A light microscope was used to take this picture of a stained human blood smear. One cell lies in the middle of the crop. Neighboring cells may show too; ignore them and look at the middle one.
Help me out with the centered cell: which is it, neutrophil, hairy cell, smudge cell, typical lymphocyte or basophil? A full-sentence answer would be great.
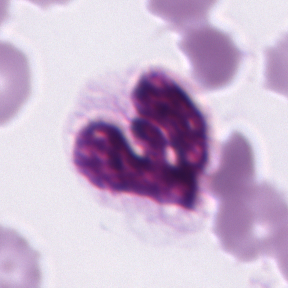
The cell marked by its central position in the crop is a neutrophil.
